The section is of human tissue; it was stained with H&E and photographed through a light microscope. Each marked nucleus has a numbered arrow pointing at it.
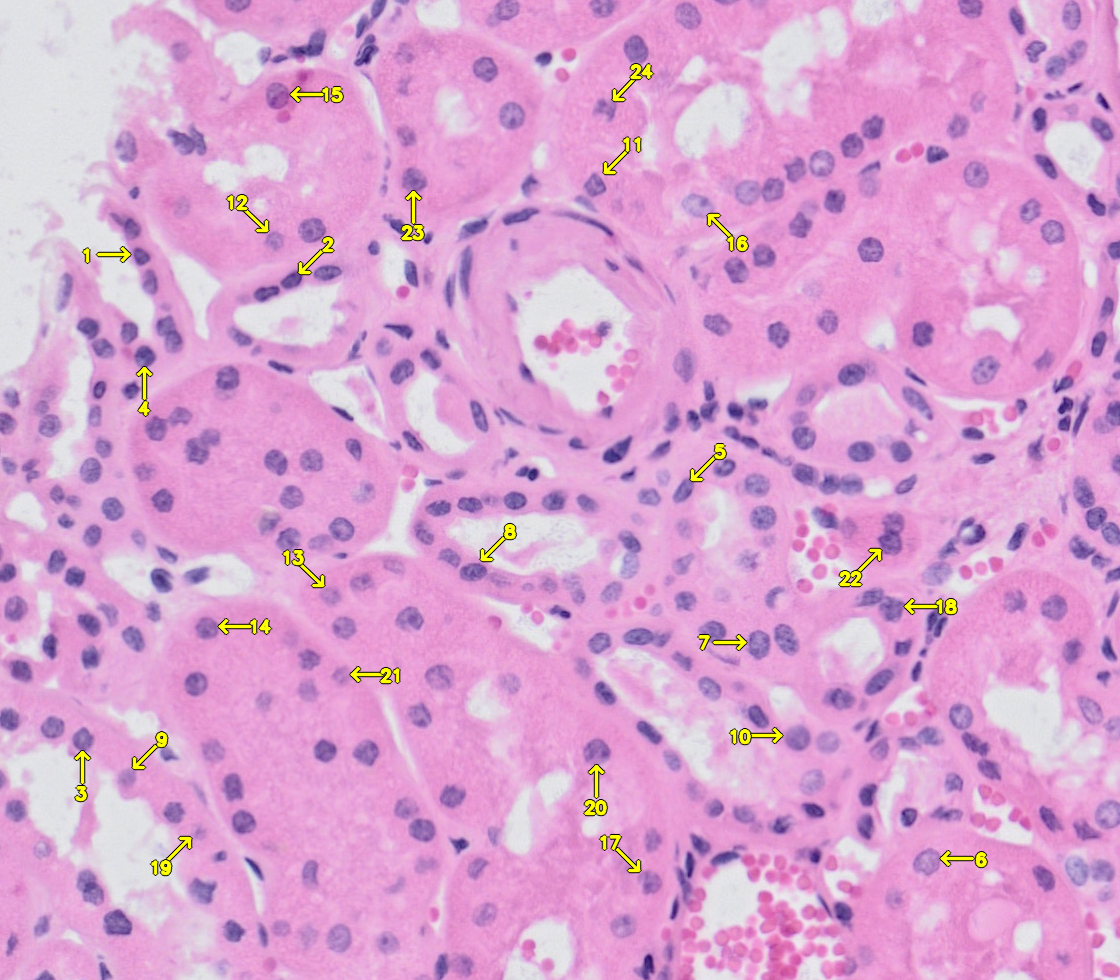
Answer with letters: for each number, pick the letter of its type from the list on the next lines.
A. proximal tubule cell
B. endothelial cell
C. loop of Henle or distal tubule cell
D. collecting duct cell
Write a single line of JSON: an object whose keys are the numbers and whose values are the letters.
{"1": "D", "2": "D", "3": "C", "4": "D", "5": "D", "6": "A", "7": "D", "8": "D", "9": "C", "10": "D", "11": "A", "12": "A", "13": "A", "14": "A", "15": "A", "16": "A", "17": "A", "18": "D", "19": "C", "20": "A", "21": "A", "22": "A", "23": "A", "24": "A"}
